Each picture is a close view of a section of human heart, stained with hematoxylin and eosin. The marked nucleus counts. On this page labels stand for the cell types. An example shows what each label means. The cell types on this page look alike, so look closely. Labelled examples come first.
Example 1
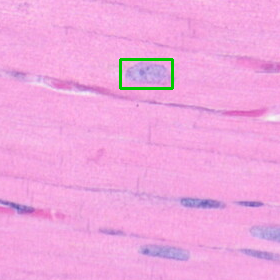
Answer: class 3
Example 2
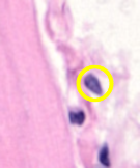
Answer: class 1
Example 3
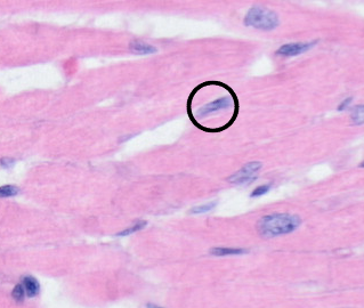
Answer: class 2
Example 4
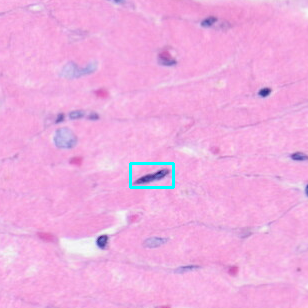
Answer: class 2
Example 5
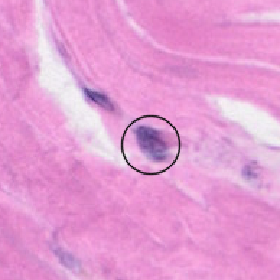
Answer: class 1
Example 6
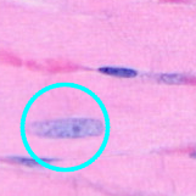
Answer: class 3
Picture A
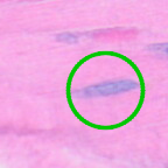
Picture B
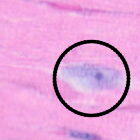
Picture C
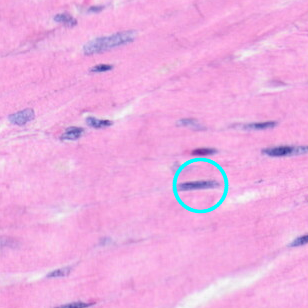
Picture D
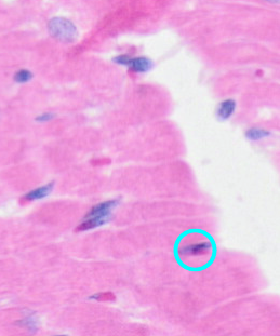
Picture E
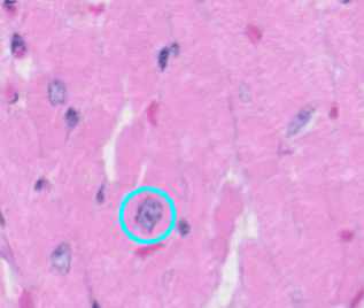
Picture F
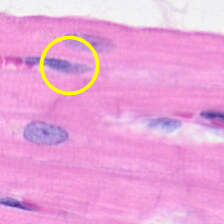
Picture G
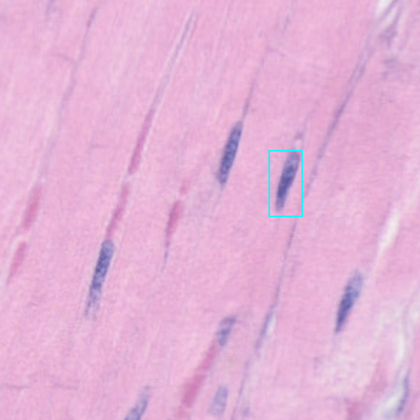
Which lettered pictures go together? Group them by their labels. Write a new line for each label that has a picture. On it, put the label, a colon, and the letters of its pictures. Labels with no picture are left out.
class 3: A, B, E
class 2: C, D, F, G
